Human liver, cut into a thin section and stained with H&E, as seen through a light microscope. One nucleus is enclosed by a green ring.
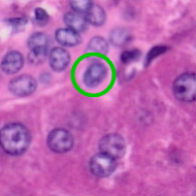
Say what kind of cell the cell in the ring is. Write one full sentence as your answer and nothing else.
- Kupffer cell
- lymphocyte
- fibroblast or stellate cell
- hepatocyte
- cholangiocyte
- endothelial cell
Right, so the cell in the ring is a cholangiocyte, to answer that.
